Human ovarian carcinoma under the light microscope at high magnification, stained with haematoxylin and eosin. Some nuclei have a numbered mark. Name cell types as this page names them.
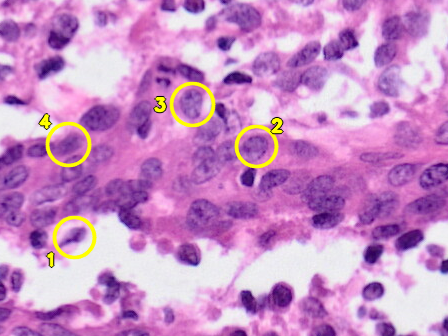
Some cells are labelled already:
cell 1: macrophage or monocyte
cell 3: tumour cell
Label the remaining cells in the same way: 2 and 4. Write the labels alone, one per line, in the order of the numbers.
tumour cell
tumour cell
